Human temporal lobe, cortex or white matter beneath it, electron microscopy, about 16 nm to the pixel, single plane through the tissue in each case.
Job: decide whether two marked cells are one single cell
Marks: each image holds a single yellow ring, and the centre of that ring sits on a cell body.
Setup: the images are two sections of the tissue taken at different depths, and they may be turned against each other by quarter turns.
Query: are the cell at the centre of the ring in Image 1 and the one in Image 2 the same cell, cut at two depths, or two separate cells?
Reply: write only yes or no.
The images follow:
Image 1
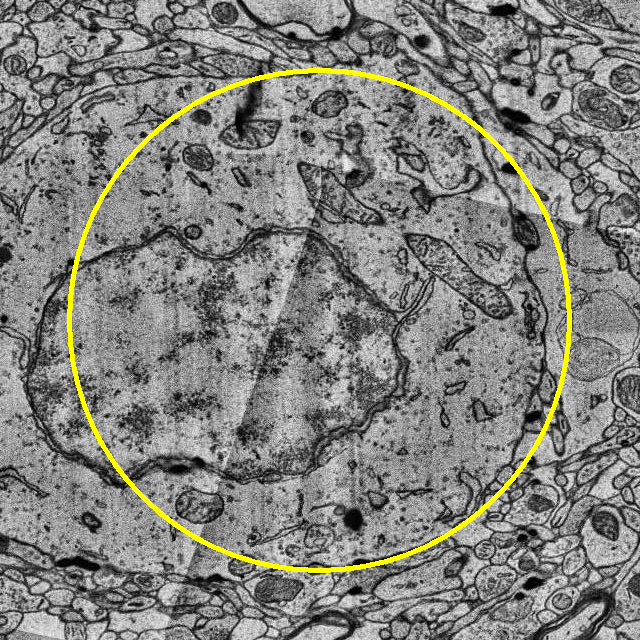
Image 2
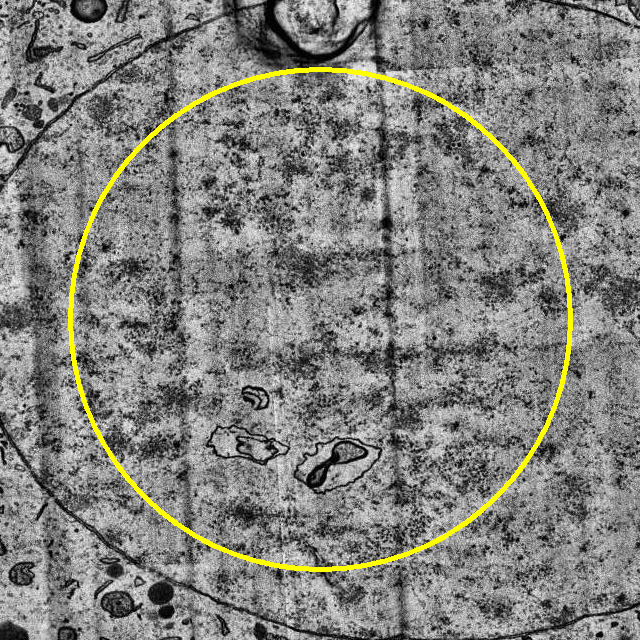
no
